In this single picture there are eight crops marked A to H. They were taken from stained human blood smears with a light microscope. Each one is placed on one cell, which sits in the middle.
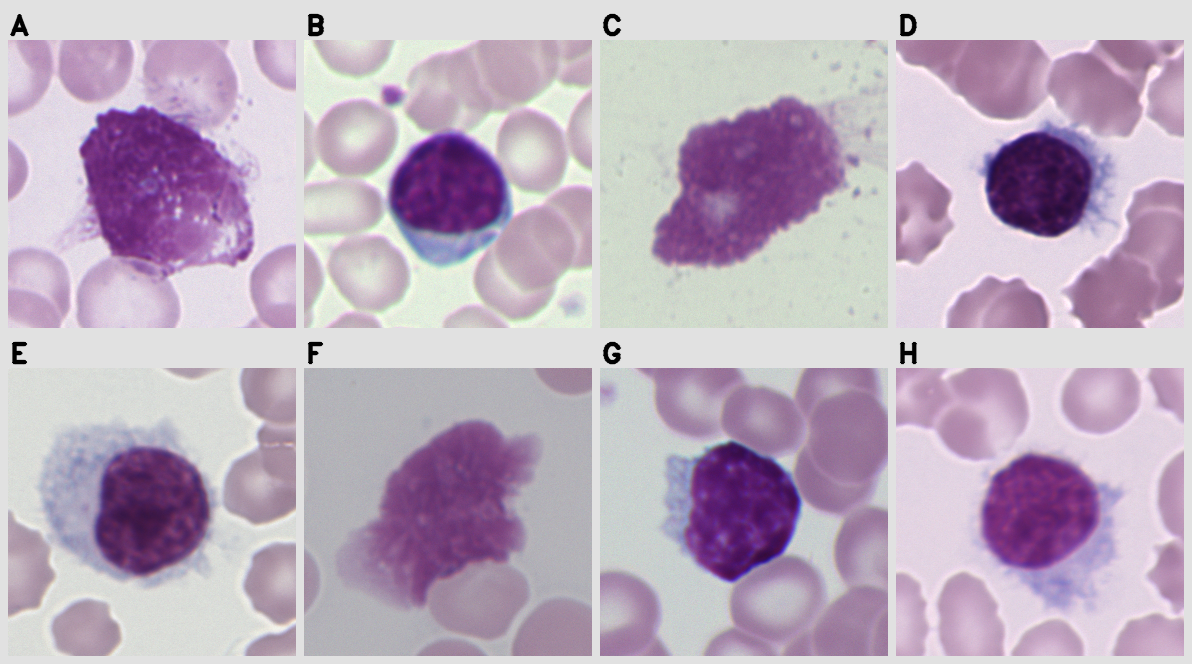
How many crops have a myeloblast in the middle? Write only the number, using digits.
0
